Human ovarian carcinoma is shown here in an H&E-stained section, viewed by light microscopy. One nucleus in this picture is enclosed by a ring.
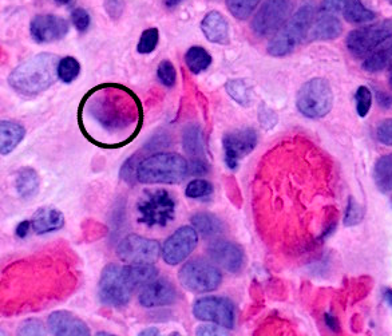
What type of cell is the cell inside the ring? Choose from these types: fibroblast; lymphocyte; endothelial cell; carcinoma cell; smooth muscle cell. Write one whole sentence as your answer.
In this preparation, the cell inside the ring is an endothelial cell.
